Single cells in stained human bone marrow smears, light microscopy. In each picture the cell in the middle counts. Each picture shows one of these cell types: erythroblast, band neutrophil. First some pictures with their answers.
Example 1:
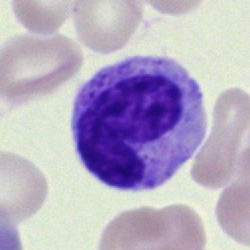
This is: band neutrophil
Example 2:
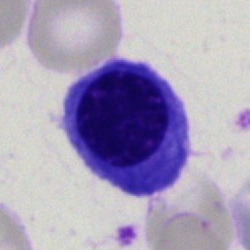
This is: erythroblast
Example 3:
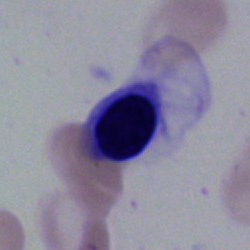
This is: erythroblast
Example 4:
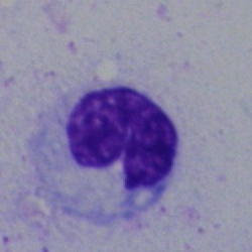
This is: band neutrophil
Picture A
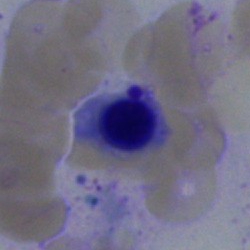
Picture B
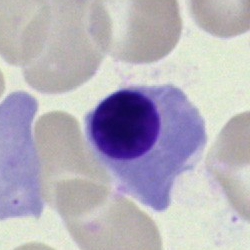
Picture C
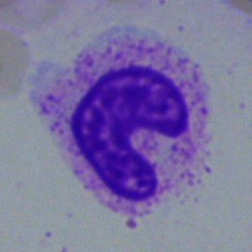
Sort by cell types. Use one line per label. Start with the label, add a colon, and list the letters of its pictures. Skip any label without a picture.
erythroblast: A, B
band neutrophil: C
